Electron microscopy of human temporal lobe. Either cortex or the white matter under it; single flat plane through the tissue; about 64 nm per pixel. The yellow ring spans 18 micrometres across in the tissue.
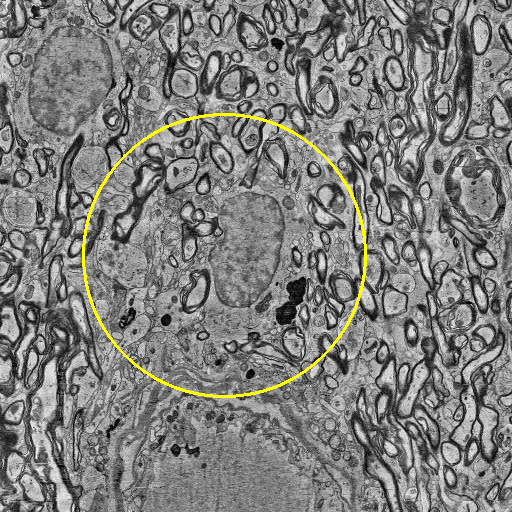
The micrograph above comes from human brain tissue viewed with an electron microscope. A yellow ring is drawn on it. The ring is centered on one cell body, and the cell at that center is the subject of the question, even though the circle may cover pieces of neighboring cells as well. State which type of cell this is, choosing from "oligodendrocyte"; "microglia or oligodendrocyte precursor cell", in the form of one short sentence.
The cell the ring is centered on is an oligodendrocyte.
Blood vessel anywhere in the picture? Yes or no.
Yes, there is a blood vessel in the image.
